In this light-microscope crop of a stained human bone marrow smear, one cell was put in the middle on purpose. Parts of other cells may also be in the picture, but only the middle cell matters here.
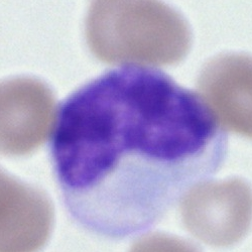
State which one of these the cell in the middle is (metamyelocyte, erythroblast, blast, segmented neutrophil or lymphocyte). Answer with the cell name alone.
metamyelocyte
